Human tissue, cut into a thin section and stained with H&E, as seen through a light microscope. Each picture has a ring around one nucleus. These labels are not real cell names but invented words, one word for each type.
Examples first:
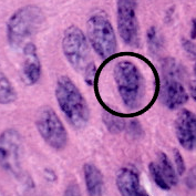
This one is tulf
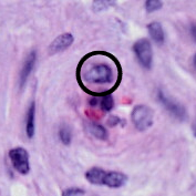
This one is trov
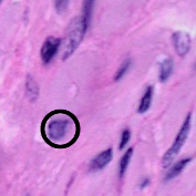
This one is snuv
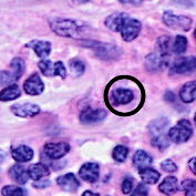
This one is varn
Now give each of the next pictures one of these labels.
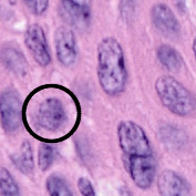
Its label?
tulf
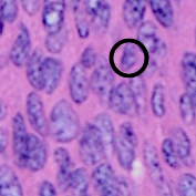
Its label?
tulf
